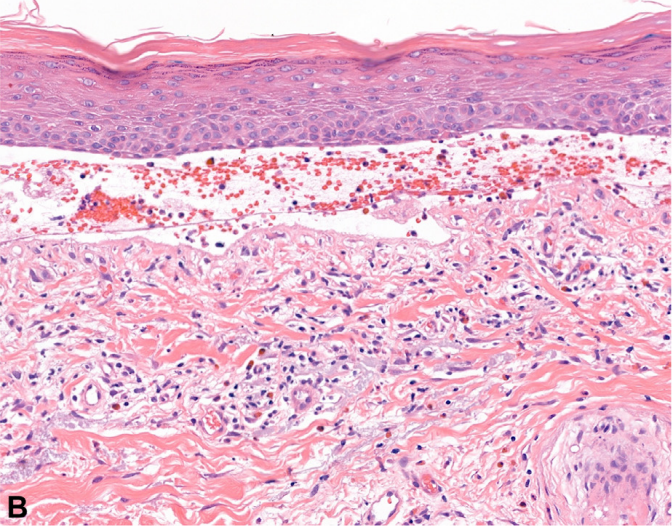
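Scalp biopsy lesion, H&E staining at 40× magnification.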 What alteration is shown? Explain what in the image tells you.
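Scattered small round dark nuclei lie in the upper dermis. Some cells in the dermis have bright orange-red granular cytoplasm.
Lympho-eosinophilic infiltrate.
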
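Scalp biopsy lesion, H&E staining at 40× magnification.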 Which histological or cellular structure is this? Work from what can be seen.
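Subepidermal vesicle. The whole epidermis is lifted off the dermis as an intact sheet. A cleft filled with red blood cells and pale fluid lies beneath the basal layer.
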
